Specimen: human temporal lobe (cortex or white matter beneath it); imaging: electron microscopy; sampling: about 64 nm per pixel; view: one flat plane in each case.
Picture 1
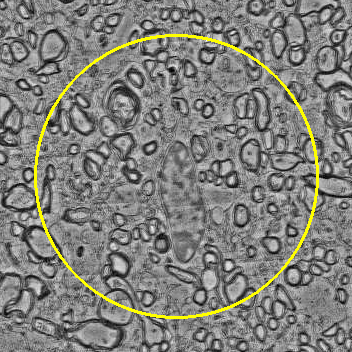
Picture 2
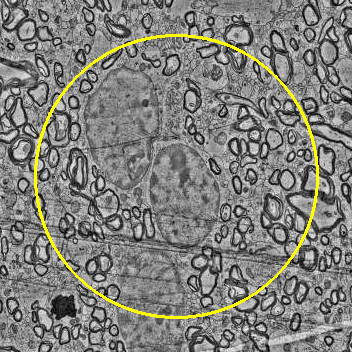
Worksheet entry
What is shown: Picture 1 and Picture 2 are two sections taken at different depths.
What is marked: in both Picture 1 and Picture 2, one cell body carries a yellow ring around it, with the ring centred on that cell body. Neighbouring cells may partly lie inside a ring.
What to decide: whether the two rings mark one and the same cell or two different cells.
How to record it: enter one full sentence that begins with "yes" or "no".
No, what the two rings mark is two different cells.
